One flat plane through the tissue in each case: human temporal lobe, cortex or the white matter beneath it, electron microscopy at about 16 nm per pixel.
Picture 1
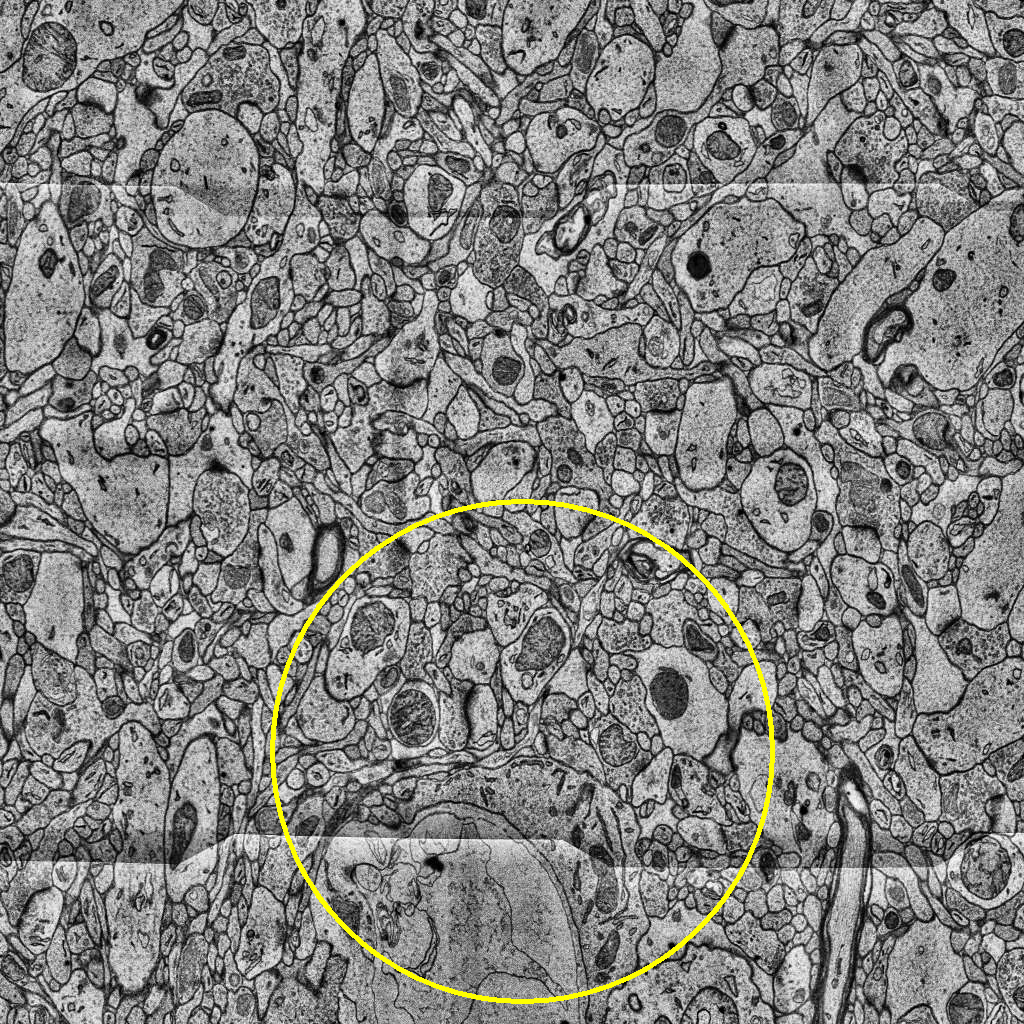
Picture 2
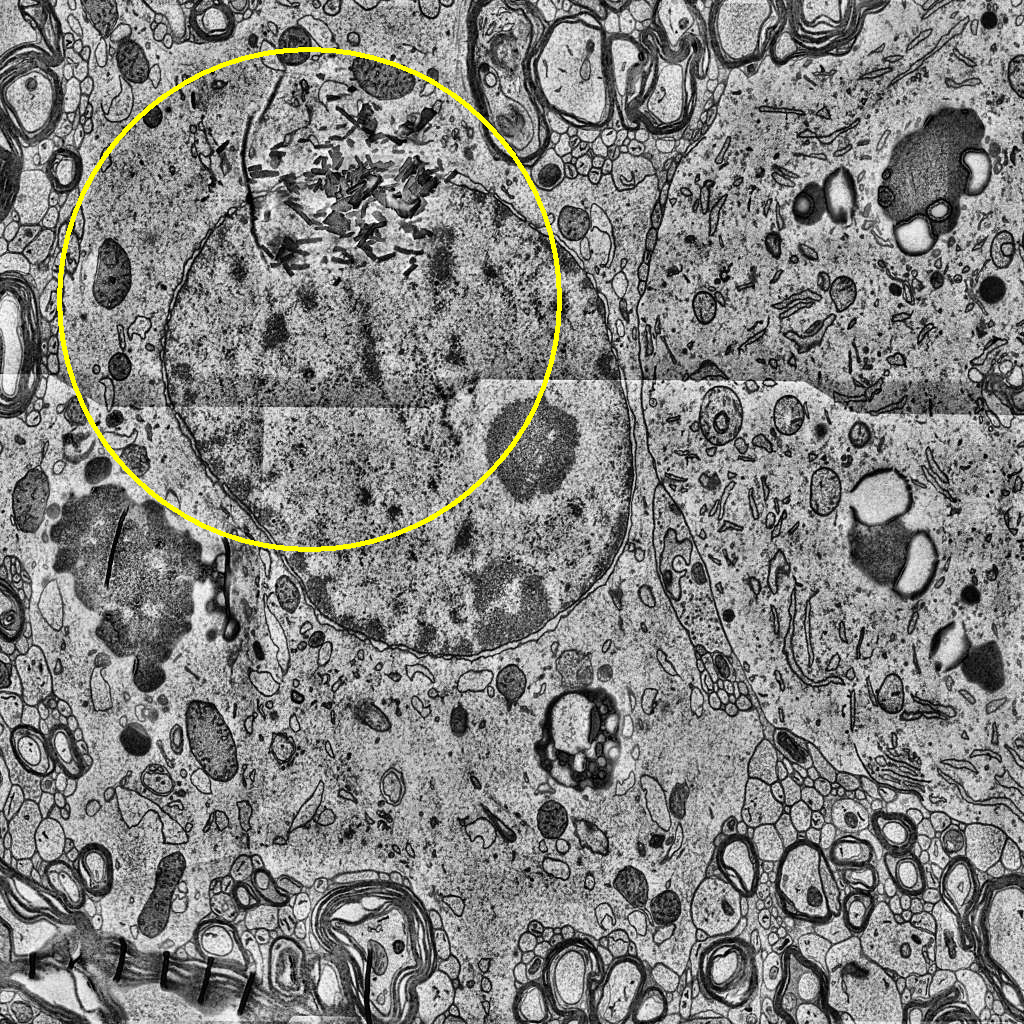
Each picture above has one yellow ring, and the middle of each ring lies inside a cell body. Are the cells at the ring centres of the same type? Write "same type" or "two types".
two types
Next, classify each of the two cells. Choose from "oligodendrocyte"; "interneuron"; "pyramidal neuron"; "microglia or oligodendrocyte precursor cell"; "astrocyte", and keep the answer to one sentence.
The two cells are a microglial cell or oligodendrocyte precursor cell in the first picture and an astrocyte in the second.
